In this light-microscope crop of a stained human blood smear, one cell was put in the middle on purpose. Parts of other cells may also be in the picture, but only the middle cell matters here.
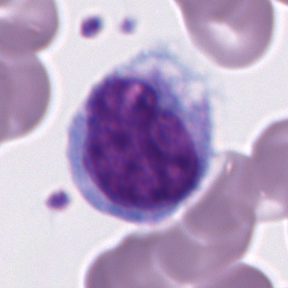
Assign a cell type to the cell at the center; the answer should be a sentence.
Occupying the centre of the crop is a monocyte.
